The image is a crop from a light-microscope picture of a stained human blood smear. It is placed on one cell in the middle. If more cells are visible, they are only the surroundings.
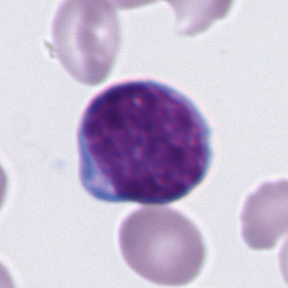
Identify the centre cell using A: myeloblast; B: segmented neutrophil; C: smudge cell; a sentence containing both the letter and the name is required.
Option A is the right one, for the cell in the middle is a myeloblast.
